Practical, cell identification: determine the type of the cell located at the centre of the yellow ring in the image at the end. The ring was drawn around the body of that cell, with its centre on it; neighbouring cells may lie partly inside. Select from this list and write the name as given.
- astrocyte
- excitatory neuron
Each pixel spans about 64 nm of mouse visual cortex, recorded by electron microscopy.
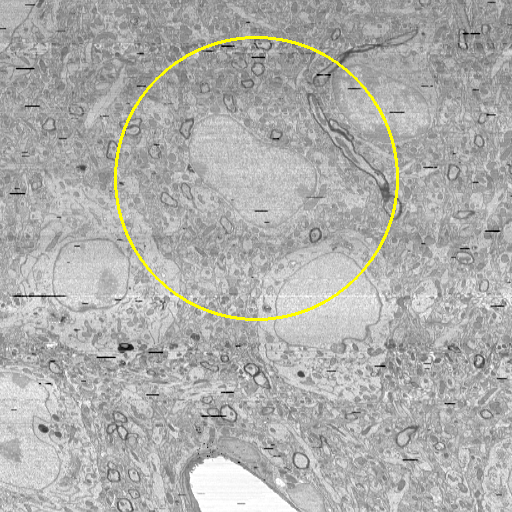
astrocyte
